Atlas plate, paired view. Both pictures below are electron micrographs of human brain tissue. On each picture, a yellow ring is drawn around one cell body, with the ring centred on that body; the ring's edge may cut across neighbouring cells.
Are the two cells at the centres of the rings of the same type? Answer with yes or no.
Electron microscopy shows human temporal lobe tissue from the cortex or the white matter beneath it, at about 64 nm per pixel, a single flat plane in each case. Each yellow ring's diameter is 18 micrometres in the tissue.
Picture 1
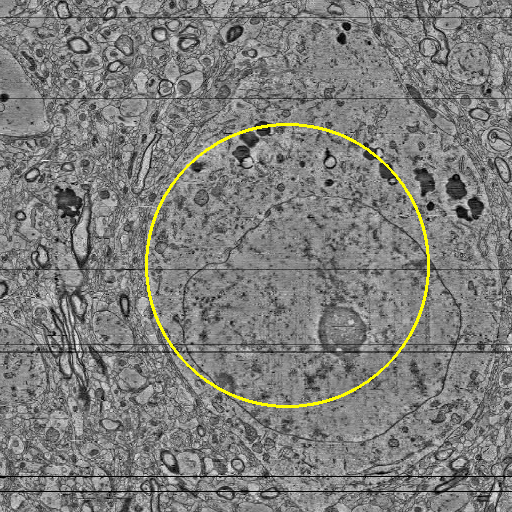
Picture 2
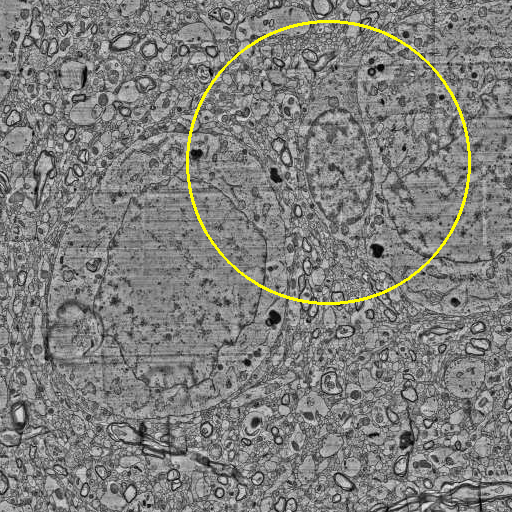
no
